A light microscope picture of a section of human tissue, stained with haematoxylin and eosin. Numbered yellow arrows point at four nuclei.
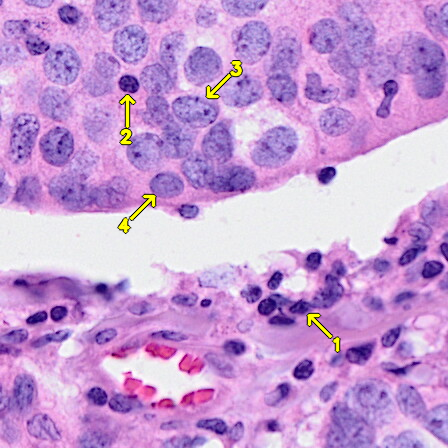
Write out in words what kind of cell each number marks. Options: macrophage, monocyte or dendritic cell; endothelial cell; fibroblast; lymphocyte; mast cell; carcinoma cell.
Cell 1 is a lymphocyte, cell 2 is a lymphocyte, cell 3 is a carcinoma cell and cell 4 is a carcinoma cell.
